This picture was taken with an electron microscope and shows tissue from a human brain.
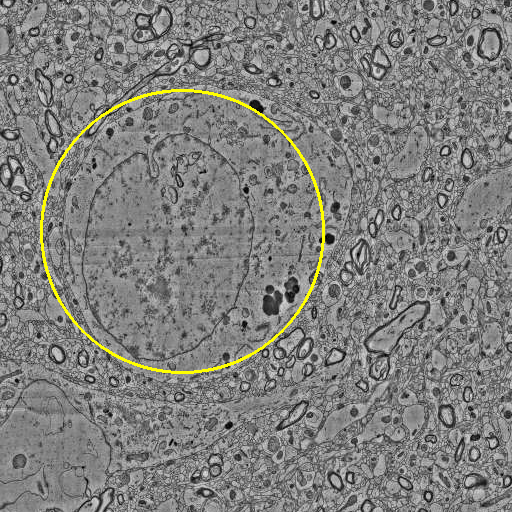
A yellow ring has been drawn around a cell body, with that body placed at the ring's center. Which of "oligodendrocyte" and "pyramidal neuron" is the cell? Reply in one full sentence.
In this picture, a pyramidal neuron is the cell at the center of the yellow ring.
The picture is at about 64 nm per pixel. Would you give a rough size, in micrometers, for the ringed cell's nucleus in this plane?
About 15 micrometres by about 11 micrometres in this plane.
